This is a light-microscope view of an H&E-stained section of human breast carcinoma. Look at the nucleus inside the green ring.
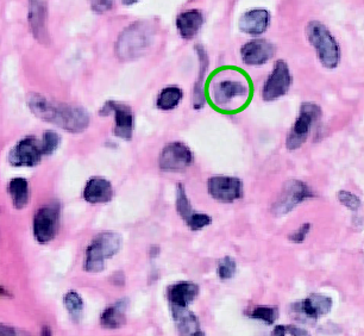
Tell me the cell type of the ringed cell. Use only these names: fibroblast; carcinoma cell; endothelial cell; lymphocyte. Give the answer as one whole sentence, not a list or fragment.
Within the stained tissue, the ringed cell is a lymphocyte.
